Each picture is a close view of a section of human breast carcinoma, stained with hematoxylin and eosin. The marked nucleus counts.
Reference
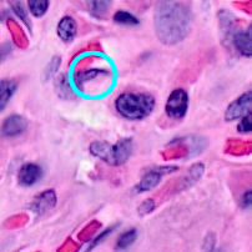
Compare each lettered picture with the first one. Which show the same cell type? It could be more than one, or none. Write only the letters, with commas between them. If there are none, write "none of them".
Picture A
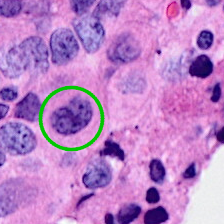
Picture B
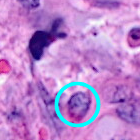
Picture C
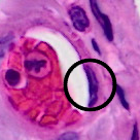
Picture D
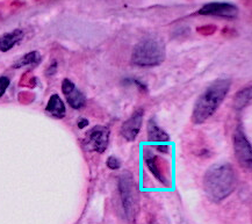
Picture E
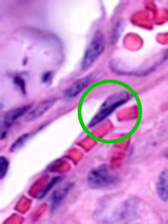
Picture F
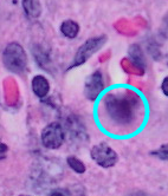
B, C, D, E, F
